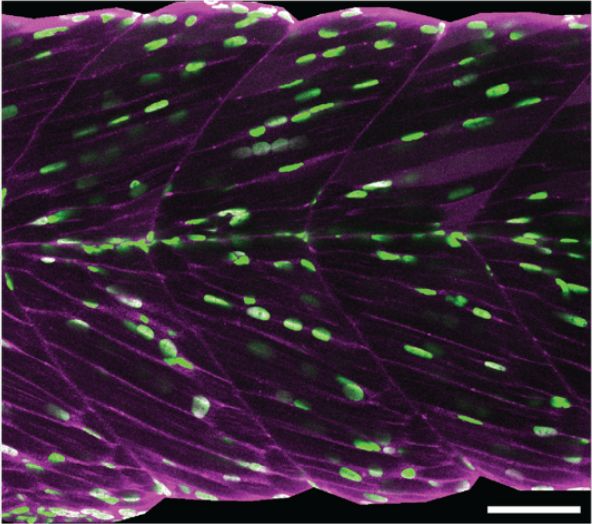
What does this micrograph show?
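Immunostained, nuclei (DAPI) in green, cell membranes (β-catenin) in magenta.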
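Skeletal muscle fibres of the myotomes, in large chevron-shaped segments bounded by thin magenta boundaries. The fibres are long, broad and parallel, spanning each segment from boundary to boundary. A horizontal line runs through the middle, splitting the segments into upper and lower halves.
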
